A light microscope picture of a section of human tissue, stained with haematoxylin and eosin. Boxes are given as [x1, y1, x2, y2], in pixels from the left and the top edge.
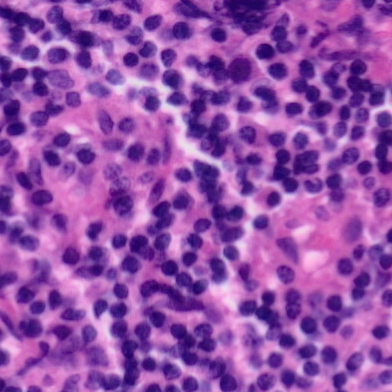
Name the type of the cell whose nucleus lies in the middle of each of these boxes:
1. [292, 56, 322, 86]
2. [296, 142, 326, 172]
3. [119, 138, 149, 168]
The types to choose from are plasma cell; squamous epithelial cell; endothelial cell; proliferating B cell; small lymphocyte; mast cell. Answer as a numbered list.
1. small lymphocyte
2. small lymphocyte
3. plasma cell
